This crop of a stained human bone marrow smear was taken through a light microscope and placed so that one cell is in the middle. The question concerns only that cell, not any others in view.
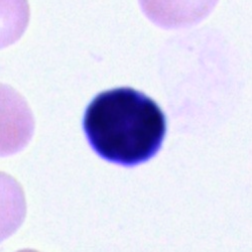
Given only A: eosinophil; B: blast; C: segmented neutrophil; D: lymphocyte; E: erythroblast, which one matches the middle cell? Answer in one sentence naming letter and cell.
It is a lymphocyte that occupies the centre of the crop, so option D is correct.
